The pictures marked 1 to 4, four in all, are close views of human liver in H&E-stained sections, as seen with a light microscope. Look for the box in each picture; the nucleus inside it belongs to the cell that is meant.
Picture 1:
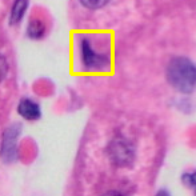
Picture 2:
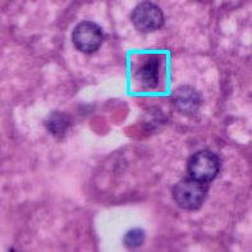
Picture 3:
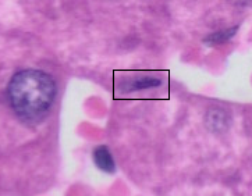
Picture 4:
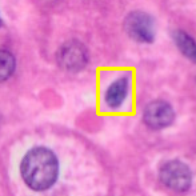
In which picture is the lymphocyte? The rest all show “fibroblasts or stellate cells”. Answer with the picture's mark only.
4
